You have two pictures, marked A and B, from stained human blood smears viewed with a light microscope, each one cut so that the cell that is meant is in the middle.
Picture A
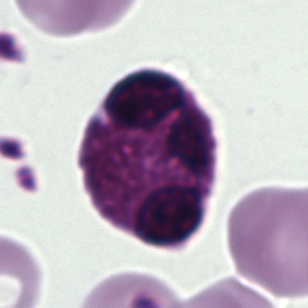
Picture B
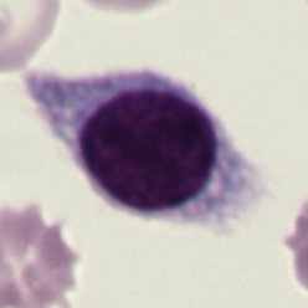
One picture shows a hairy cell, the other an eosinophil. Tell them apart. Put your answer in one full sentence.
Picture A shows an eosinophil and picture B shows a hairy cell.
